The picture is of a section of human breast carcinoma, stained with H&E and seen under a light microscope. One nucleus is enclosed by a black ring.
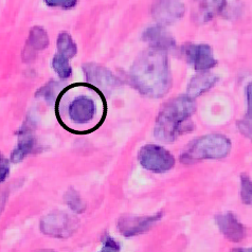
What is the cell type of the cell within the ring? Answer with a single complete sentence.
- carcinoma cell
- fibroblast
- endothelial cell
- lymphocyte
Microscopically, the cell within the ring is categorized as a lymphocyte.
